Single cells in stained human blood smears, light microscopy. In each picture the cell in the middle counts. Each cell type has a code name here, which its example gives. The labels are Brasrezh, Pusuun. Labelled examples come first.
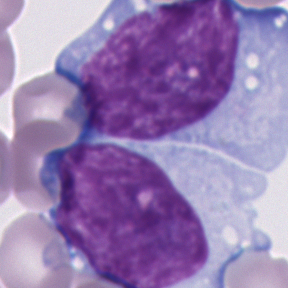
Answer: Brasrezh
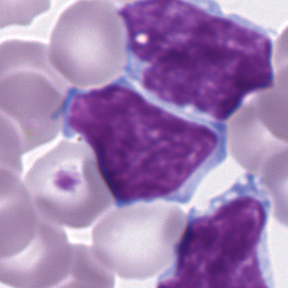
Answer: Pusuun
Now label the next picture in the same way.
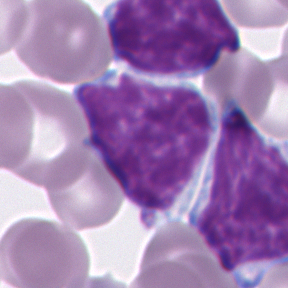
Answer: Pusuun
